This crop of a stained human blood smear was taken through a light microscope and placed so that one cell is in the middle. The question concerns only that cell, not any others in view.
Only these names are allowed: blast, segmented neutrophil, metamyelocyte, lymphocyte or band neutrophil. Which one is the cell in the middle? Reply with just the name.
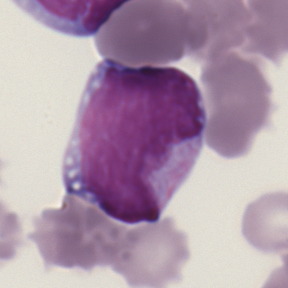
blast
